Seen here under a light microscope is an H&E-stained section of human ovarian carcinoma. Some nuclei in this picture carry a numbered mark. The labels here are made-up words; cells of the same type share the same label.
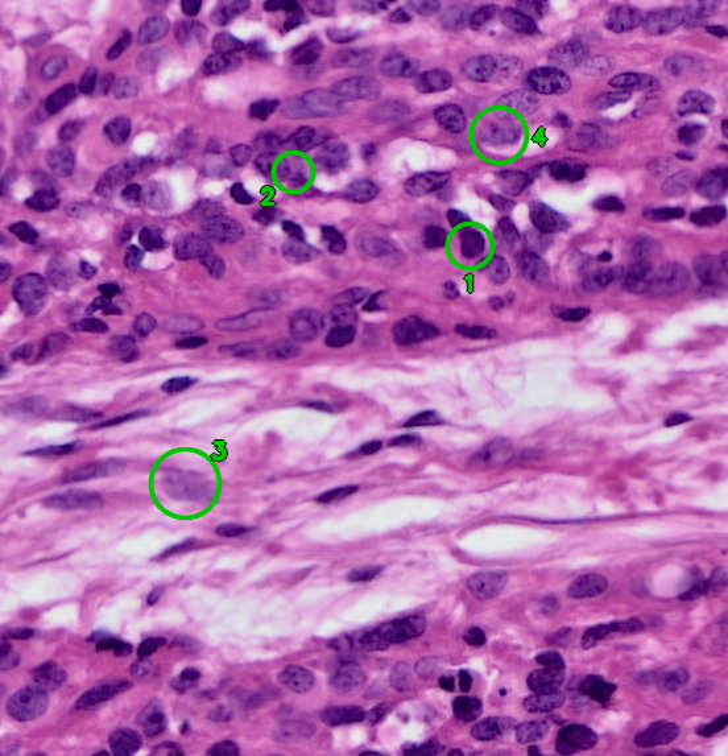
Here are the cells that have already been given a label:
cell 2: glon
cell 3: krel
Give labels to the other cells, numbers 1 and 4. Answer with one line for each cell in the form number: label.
1: glon
4: glon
